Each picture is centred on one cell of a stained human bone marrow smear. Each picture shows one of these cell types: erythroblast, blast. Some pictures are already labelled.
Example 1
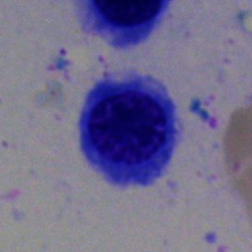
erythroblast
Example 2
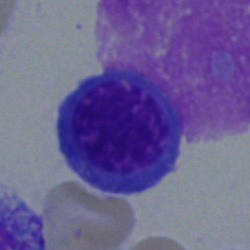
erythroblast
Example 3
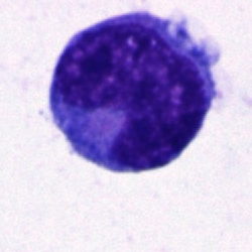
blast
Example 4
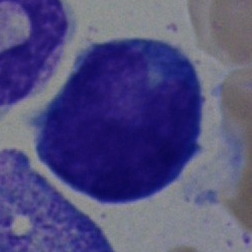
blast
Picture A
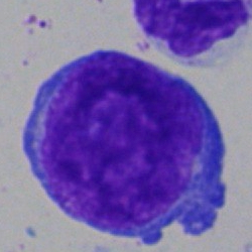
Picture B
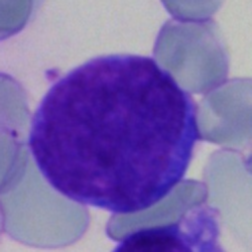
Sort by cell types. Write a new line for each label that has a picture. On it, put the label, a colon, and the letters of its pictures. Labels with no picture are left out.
blast: A, B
